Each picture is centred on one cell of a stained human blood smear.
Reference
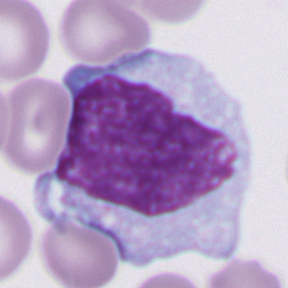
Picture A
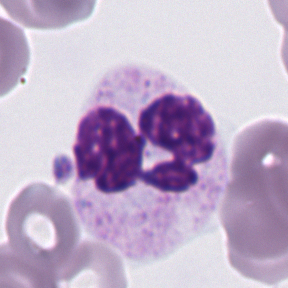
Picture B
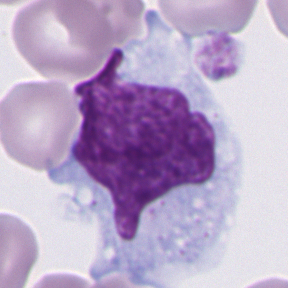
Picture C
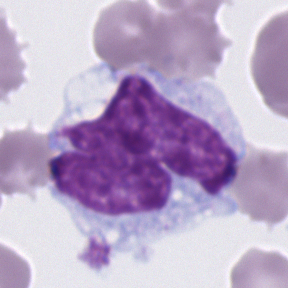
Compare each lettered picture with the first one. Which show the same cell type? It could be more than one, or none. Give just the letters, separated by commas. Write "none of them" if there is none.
B, C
